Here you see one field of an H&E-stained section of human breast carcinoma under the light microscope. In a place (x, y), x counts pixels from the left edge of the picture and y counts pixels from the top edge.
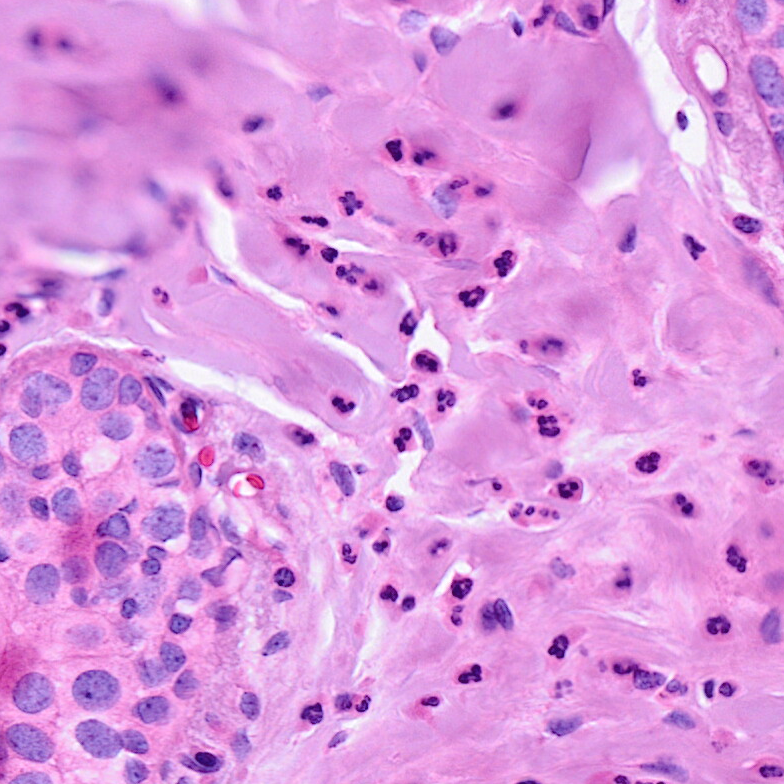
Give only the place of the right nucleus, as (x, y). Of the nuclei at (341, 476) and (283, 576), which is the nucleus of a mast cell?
(283, 576)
